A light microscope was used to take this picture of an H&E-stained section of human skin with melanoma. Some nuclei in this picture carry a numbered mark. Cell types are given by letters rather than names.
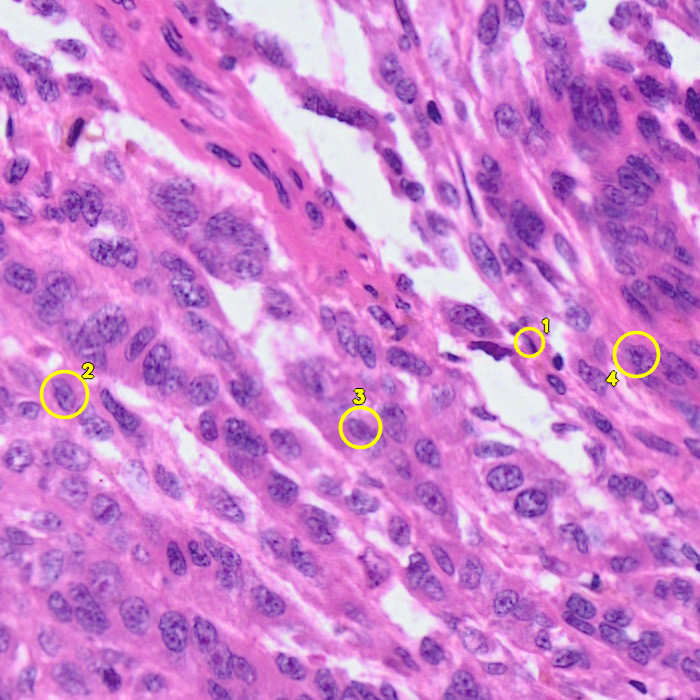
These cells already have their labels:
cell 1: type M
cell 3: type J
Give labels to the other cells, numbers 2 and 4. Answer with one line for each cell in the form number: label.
2: type J
4: type J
